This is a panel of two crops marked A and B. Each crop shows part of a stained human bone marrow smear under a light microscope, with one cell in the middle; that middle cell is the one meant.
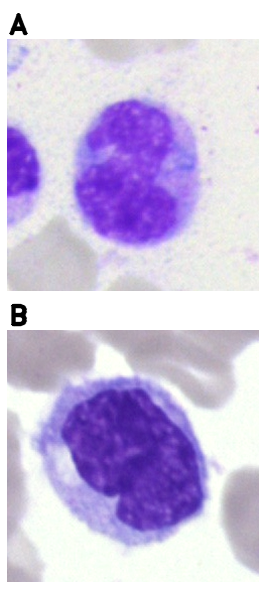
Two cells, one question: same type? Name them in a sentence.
Yes, what both crops show at their centres are monocytes.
